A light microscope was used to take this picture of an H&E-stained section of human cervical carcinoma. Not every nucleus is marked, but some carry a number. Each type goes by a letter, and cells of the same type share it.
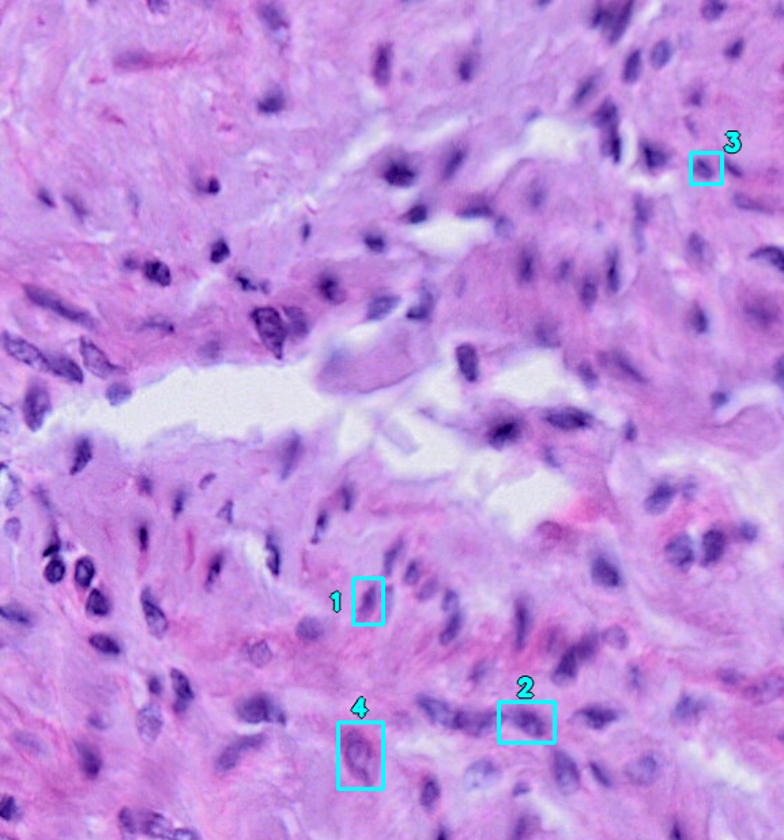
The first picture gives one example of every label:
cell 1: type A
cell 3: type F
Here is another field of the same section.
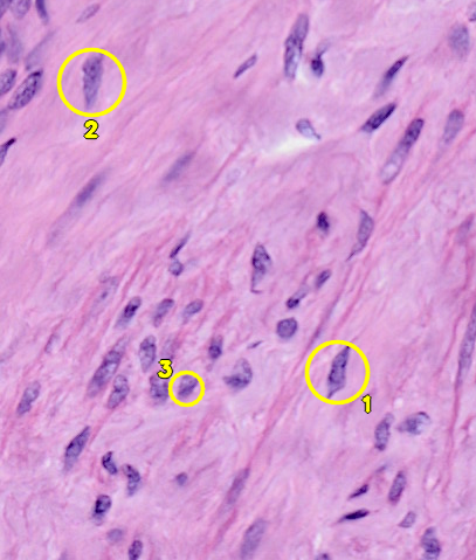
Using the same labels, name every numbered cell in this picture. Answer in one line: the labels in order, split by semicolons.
type F; type F; type A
